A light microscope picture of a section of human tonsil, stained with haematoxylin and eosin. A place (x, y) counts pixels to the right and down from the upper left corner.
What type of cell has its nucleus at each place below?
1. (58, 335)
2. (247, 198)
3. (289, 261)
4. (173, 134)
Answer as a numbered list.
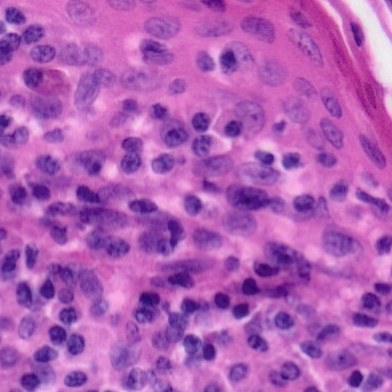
1. plasma cell
2. squamous epithelial cell
3. squamous epithelial cell
4. squamous epithelial cell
